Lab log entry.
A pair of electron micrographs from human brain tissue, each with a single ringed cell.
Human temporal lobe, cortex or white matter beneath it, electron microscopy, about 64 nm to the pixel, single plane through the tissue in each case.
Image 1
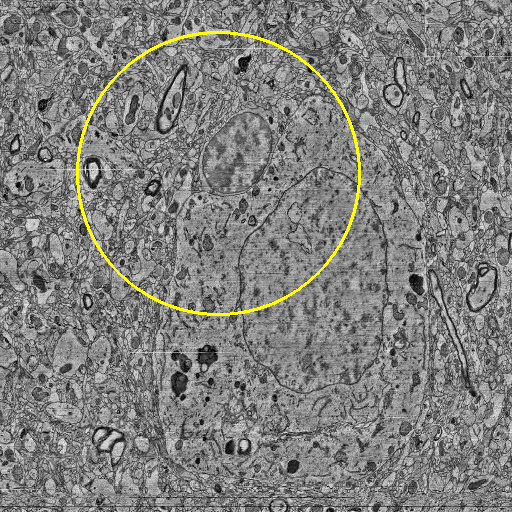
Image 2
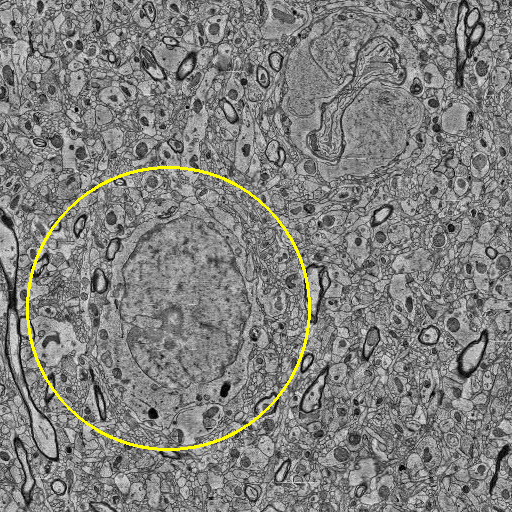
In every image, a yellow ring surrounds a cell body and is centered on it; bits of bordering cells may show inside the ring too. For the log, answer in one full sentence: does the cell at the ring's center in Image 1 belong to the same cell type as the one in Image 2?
No, the cells at the ring centers in Image 1 and Image 2 are of separate types.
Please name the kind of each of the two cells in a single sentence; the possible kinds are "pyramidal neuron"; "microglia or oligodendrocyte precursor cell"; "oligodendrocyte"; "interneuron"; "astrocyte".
In the first picture the ring is centred on an oligodendrocyte, and in the second on an interneuron.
